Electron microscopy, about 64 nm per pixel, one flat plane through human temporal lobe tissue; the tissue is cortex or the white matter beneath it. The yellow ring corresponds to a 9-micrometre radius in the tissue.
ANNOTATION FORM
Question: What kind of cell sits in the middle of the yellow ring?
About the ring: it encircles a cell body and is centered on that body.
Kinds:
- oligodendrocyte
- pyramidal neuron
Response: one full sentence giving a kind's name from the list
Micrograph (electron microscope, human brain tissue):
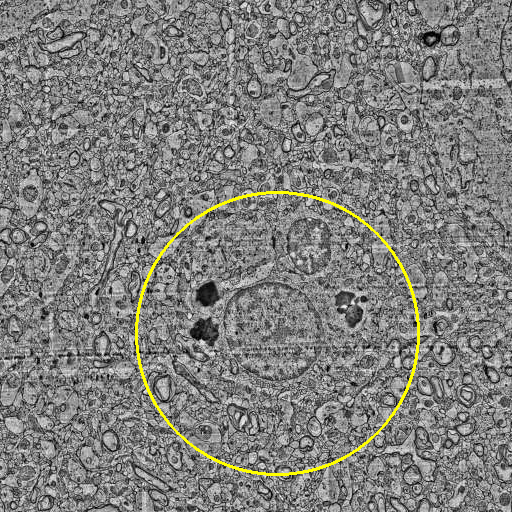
The kind of cell found at the center of the yellow ring in the micrograph is an oligodendrocyte.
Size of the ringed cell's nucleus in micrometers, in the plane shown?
The nucleus measures about 6 micrometers across in this plane.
